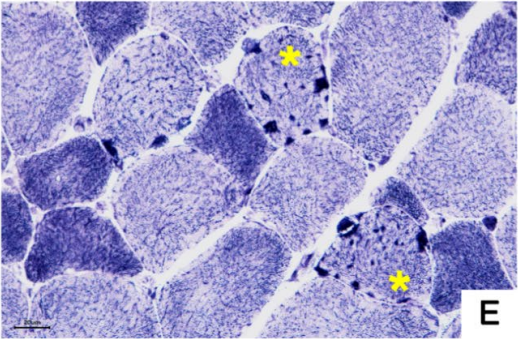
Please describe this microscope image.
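Cross-sectioned skeletal muscle fibers stained blue-purple lie side by side, darker and paler fibers intermingled, with a fine network-like texture inside them. Some fibers hold coarse, deeply stained dark blue granular clumps scattered through their interior. These are deeply stained granular aggregates within muscle fibers.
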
